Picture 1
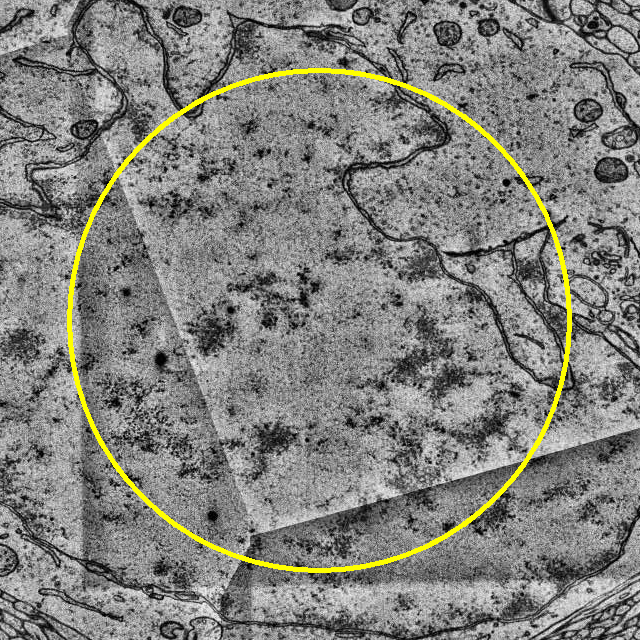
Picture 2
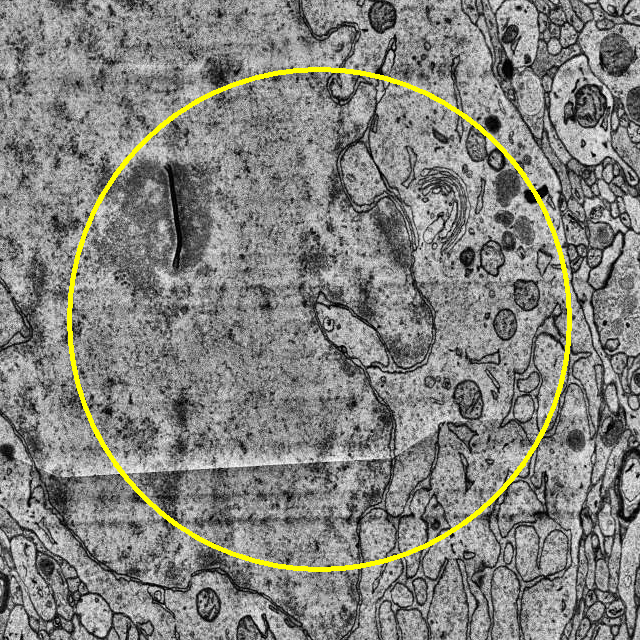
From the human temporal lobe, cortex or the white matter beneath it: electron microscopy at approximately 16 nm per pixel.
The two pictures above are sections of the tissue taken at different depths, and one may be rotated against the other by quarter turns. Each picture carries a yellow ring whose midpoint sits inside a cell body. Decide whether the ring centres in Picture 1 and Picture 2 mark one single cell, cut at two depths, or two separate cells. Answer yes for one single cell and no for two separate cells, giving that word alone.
no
